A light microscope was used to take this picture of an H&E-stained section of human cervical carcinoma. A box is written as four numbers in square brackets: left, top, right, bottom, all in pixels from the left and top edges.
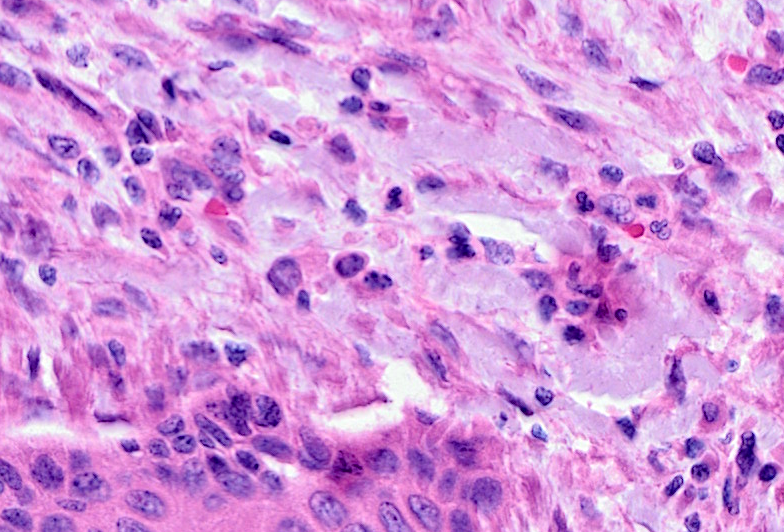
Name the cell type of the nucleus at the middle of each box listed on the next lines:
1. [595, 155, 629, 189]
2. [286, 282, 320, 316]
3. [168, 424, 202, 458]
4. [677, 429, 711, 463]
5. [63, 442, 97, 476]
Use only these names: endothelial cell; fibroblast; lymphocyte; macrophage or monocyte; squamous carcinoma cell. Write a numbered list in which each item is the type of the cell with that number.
1. lymphocyte
2. lymphocyte
3. squamous carcinoma cell
4. lymphocyte
5. squamous carcinoma cell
